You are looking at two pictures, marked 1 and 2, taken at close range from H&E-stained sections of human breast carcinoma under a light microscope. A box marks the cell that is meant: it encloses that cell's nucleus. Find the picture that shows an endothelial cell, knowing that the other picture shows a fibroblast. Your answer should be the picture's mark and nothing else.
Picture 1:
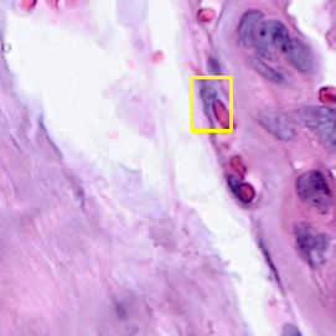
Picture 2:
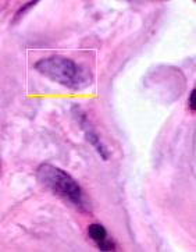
1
